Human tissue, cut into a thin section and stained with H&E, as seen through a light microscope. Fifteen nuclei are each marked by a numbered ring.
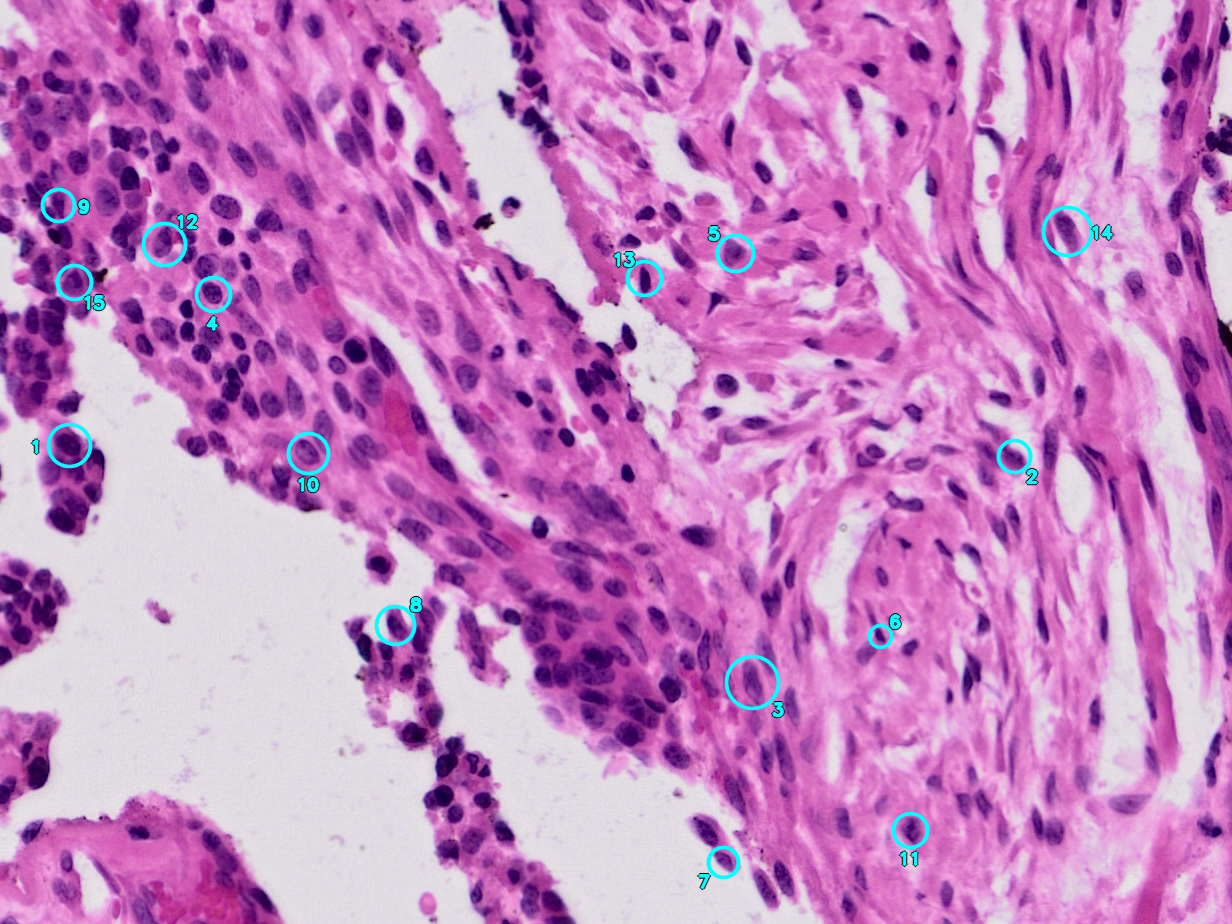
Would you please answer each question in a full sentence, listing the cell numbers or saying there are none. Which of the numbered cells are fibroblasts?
The cells picked out by numbers 2, 3, 5, 6, 11, 13 and 14 are fibroblasts.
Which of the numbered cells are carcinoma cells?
The cells that the numbers 1, 7, 8, 9 and 15 belong to are carcinoma cells.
